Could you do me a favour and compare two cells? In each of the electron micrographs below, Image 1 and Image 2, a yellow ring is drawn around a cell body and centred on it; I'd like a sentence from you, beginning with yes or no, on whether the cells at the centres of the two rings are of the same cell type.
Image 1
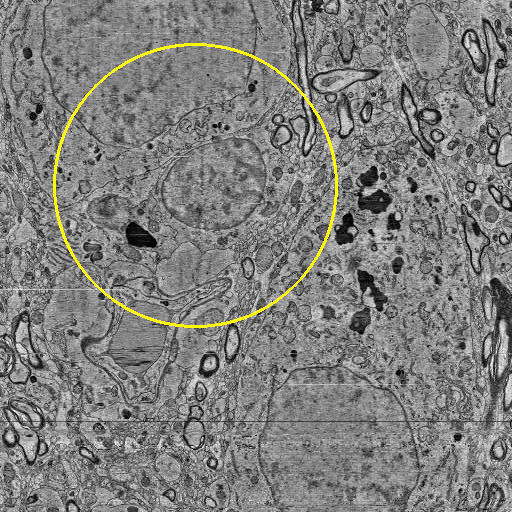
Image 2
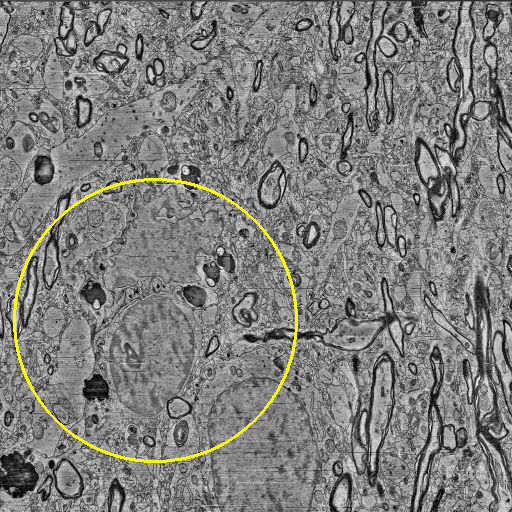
Yes, the two cells are of the same cell type.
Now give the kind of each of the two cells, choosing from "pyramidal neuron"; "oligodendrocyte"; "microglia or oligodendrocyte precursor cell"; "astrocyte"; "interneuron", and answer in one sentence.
Both the first and the second picture show an oligodendrocyte in the ring.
